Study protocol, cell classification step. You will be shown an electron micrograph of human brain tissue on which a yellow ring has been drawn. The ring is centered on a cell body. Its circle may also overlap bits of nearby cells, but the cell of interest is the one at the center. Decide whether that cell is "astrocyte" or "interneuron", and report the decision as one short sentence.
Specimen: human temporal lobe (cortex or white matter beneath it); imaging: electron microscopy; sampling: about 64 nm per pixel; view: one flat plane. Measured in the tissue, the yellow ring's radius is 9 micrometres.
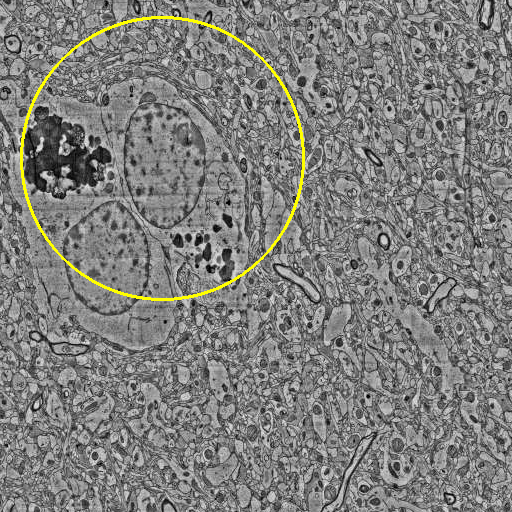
The marked cell is an astrocyte.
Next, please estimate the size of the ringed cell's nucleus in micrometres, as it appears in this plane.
Roughly 8 by 5 micrometres is the size of the nucleus in this plane.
